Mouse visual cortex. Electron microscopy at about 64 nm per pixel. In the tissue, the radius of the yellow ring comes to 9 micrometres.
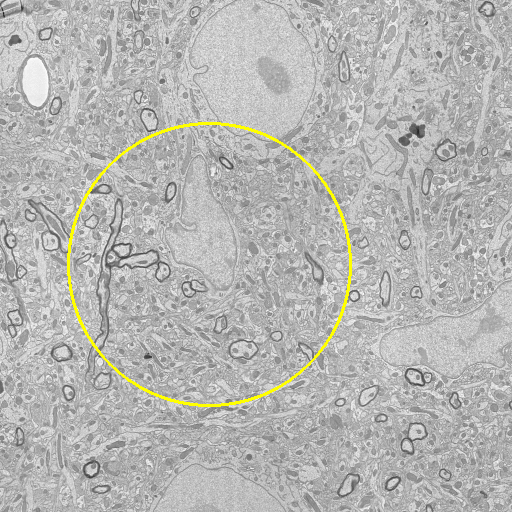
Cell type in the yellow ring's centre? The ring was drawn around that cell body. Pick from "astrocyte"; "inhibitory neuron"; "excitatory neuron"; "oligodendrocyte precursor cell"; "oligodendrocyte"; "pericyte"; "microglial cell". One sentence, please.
The ringed cell body is that of an oligodendrocyte precursor cell.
